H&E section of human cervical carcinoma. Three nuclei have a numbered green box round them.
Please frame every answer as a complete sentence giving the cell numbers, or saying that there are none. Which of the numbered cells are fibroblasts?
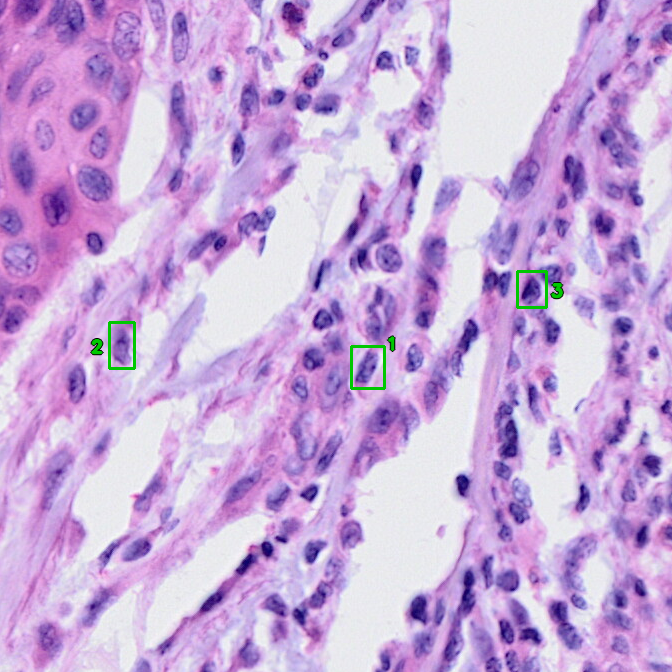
Cell 2 is a fibroblast, while all remaining marked cells are of other types.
